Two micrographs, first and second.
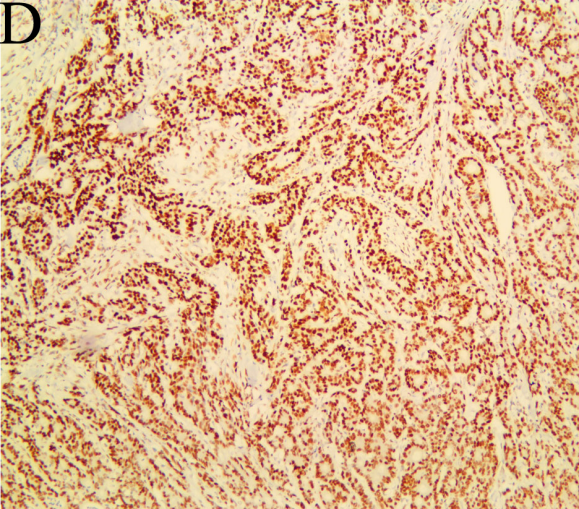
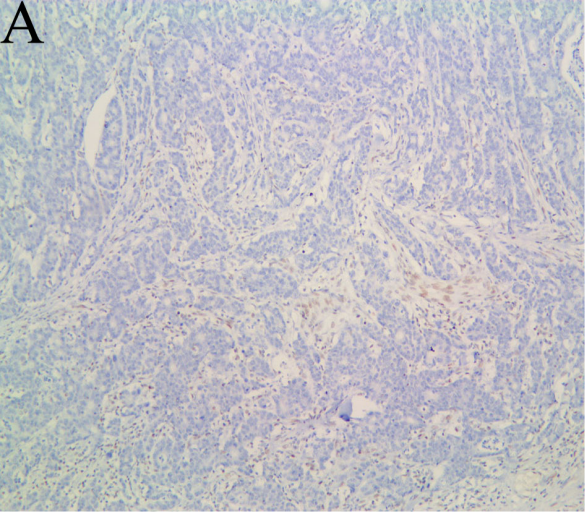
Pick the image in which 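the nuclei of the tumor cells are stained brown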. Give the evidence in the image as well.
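The first image. First image: nearly all nuclei in the crowded glands and cords are dark brown. Second image: the nuclei in the tumor sheets are blue, with brown only in a few stromal nuclei.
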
